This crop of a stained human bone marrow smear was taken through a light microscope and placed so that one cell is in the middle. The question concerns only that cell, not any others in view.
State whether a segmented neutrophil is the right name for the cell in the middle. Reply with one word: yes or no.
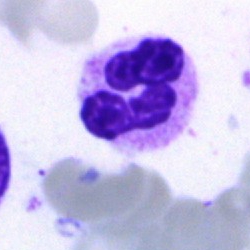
yes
